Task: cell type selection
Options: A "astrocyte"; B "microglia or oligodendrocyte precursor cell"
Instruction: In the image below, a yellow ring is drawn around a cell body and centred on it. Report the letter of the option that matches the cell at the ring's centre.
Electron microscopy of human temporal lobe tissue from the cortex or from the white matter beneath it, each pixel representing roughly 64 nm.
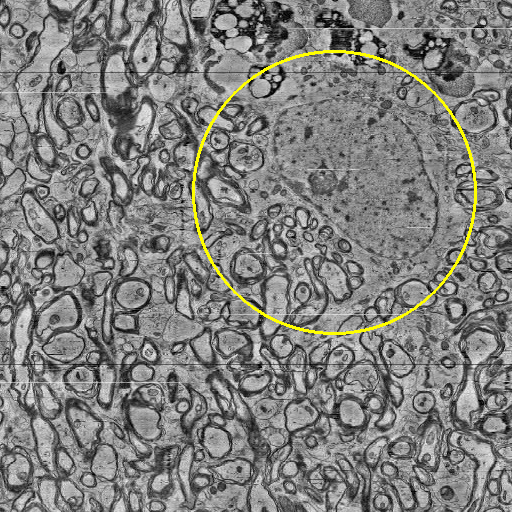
A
